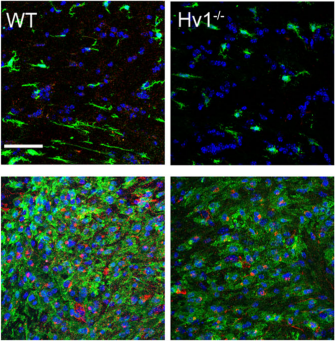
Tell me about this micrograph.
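In the upper two fields the green cells are sparse and have small bodies with thin, elongated processes, some aligned in parallel streaks; red dots are rare. In the lower two fields green cells are far denser and form a crowded meshwork of thicker processes. Nuclei are more numerous there, and red puncta are scattered among the cells, some lying next to nuclei and overlapping green cell bodies. Red puncta appear more numerous in the lower left field than in the lower right.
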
